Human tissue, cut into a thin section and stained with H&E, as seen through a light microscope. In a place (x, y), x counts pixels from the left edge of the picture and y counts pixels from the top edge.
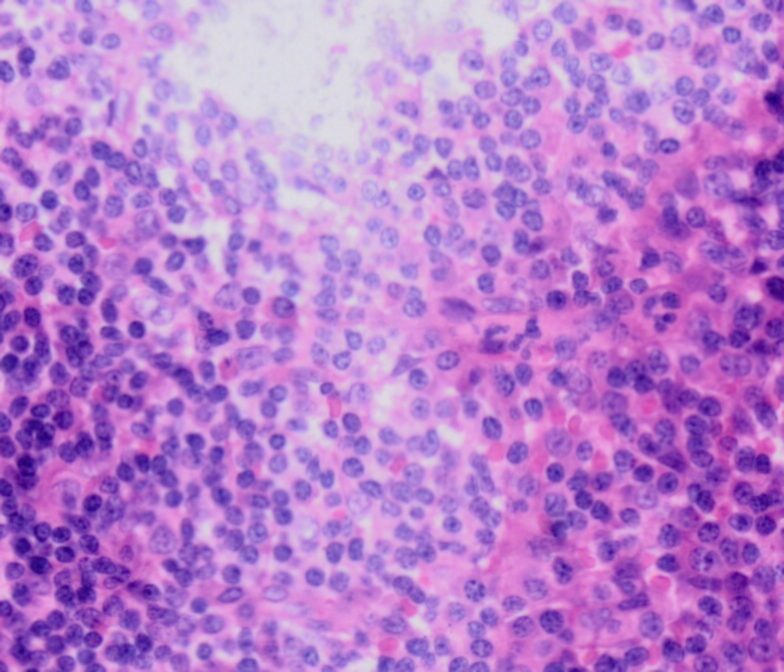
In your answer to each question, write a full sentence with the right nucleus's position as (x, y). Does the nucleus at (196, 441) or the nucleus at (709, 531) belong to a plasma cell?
The nucleus positioned at (709, 531) forms part of a plasma cell.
